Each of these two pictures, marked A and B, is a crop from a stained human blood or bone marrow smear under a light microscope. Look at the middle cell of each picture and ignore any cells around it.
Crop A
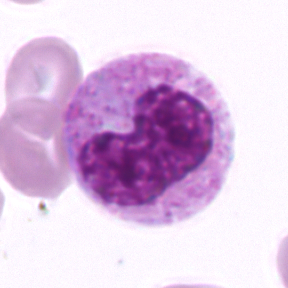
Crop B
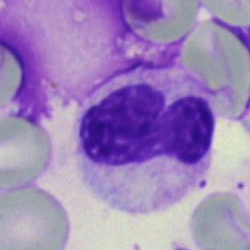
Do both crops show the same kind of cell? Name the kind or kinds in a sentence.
No, a metamyelocyte is depicted by crop A, a band neutrophil by crop B.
